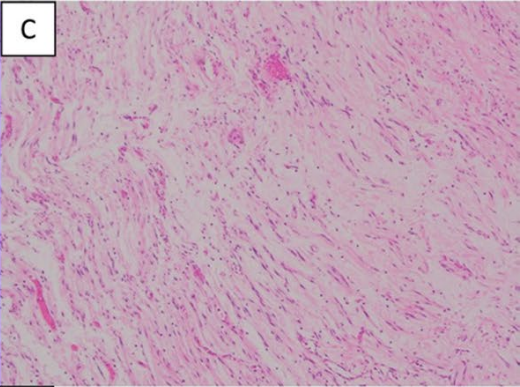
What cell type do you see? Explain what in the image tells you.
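Eosinophilic spindle-shaped cells. Pink tissue made of long, thin cells in wavy bundles. Nuclei are small and elongated, spread loosely.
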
